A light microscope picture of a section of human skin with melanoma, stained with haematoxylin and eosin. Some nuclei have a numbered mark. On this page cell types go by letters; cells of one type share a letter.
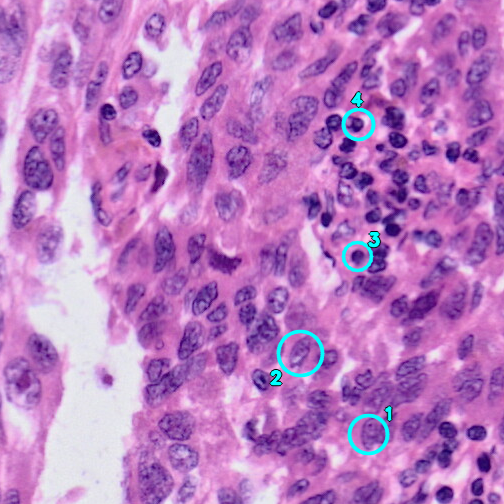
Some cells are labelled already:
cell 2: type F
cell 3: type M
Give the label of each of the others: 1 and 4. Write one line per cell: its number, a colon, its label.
1: type F
4: type M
